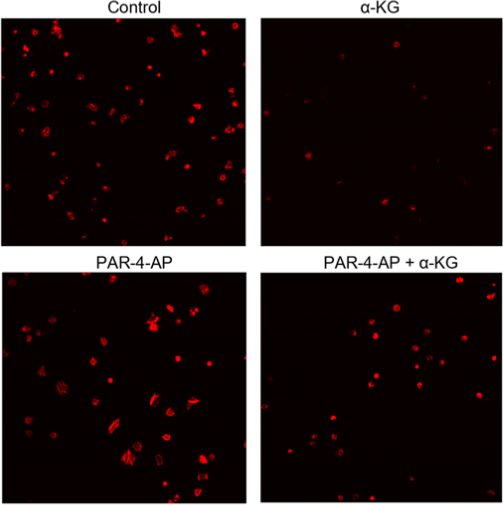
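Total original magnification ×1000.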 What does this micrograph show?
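In the two left-hand fields many of them have flattened and spread, giving irregular outlines with short spiky or ruffled edges and a brighter rim. In the two right-hand fields the platelets are fewer and mostly appear as small rounded dots, with only a few showing spread edges. No nuclei are seen, as fits these small cell fragments. Comparing the fields by eye, the number of attached platelets and the area each covers differ clearly between the left and right columns.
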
